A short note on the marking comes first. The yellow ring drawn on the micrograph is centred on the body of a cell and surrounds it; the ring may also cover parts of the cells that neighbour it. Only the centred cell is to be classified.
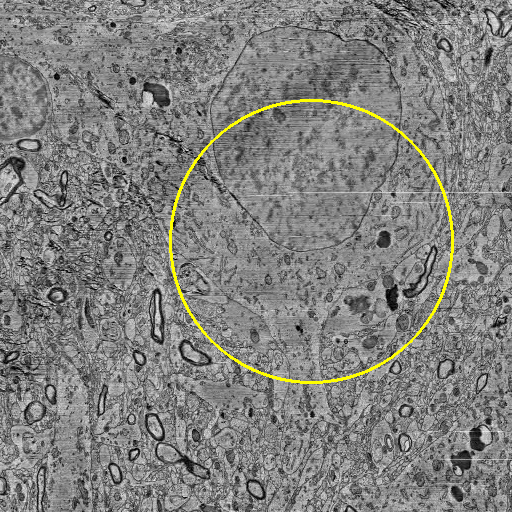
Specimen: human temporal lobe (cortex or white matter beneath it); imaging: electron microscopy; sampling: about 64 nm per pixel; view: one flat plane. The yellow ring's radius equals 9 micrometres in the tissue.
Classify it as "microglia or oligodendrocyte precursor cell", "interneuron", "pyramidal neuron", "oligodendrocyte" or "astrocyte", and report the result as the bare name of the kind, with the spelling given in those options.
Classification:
pyramidal neuron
